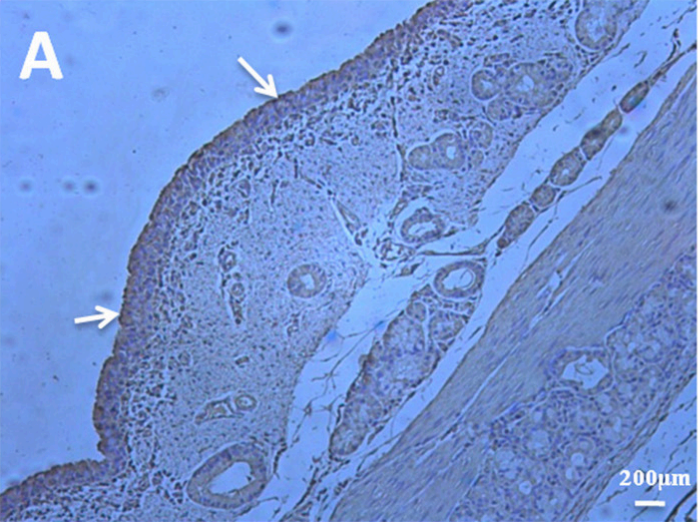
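Along the free surface facing the lumen runs a thin brownish border. Beneath the epithelium lies a broad layer of loose connective tissue with scattered nuclei, in which small round and oval glandular profiles appear in cross-section, each a ring of cuboidal to columnar cells around a narrow lumen. Further out, separated by pale loose tissue, lie more clustered glandular units and a band of elongated, parallel fibres resembling smooth muscle. Staining overall is pale with faint brown tone.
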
